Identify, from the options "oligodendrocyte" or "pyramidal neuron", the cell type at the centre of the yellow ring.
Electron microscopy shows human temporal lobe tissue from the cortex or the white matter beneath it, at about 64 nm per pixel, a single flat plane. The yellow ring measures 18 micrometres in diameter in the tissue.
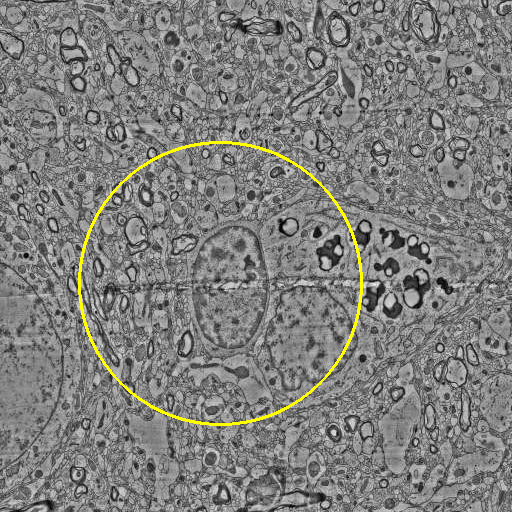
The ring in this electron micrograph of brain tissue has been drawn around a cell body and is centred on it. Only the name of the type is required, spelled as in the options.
oligodendrocyte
